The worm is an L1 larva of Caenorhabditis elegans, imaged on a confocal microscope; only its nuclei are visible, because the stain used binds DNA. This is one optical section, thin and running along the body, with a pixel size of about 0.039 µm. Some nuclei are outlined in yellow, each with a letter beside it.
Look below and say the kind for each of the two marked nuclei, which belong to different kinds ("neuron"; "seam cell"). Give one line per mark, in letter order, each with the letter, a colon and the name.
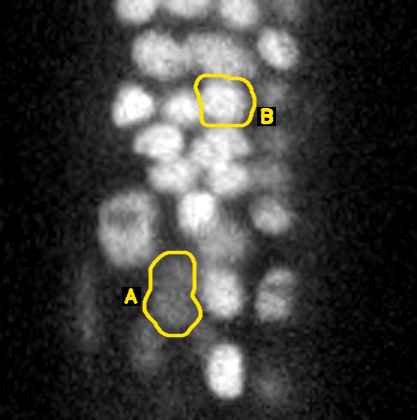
A: seam cell
B: neuron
